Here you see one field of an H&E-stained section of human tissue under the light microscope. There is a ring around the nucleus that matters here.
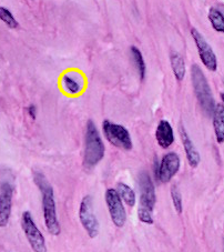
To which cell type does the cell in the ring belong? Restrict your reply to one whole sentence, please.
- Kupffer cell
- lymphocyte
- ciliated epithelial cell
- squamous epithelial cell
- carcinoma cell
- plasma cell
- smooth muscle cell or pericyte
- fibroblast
The expected answer is simply that the cell in the ring is a fibroblast.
